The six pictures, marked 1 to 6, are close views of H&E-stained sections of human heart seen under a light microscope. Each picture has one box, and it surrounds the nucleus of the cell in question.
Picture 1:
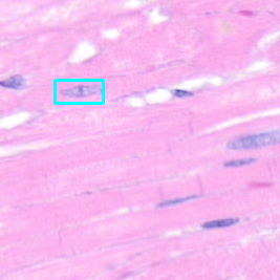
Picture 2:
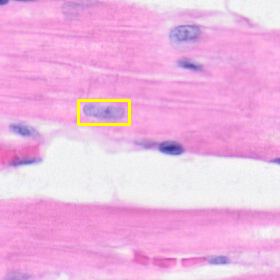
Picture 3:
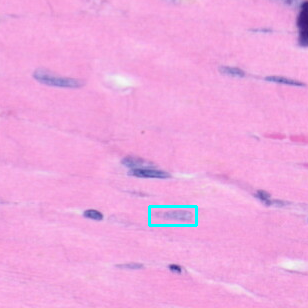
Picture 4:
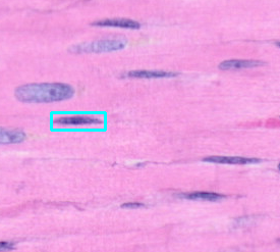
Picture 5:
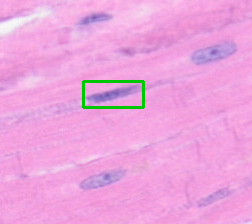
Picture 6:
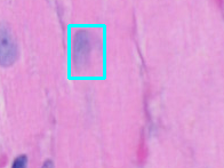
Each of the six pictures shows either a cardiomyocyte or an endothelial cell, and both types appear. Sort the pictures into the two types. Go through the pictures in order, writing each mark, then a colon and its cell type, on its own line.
1: cardiomyocyte
2: cardiomyocyte
3: cardiomyocyte
4: endothelial cell
5: endothelial cell
6: cardiomyocyte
